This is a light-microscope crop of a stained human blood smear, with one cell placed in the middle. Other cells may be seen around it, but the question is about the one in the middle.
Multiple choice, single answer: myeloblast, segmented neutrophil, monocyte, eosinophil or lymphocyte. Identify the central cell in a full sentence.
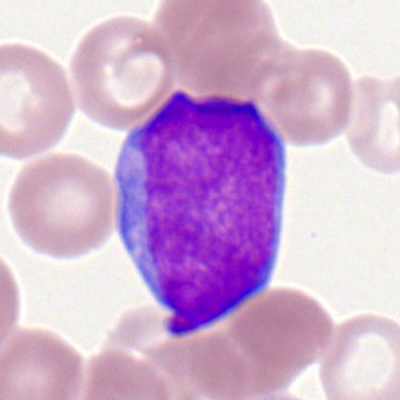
Of the cells in this crop, the central one is a myeloblast.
